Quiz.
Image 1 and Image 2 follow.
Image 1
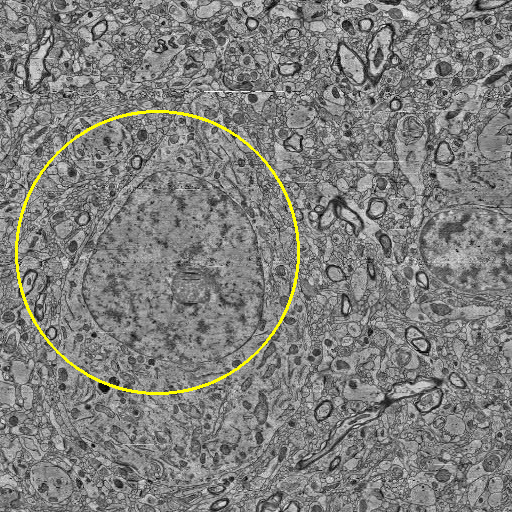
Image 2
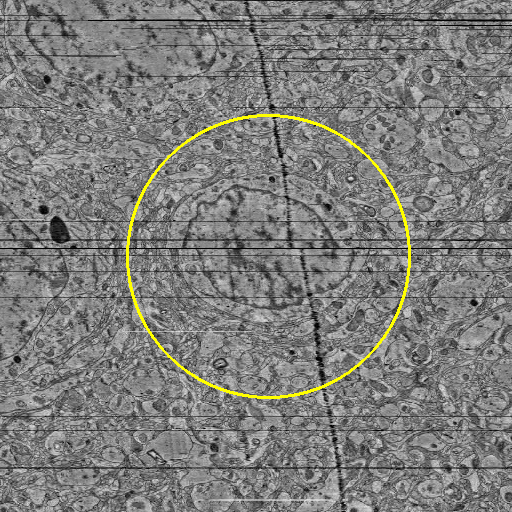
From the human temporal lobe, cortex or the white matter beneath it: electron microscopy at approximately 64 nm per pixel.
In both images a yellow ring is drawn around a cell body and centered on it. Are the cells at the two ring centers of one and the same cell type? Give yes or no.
no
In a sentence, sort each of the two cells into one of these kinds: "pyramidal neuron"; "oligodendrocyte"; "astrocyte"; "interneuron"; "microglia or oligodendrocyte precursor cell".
The first of the two cells is an interneuron, and the second is a pyramidal neuron.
